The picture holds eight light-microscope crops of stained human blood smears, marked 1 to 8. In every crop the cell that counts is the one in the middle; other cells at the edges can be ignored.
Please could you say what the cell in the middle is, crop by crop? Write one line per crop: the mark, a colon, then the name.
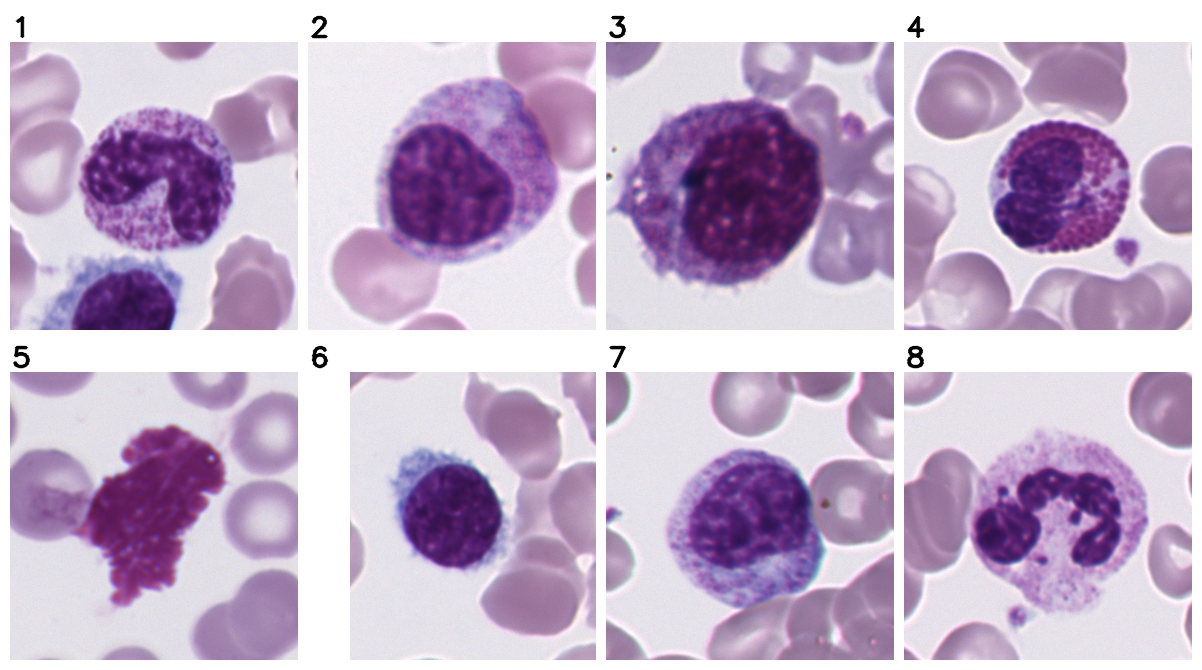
1: band neutrophil
2: myelocyte
3: promyelocyte
4: eosinophil
5: smudge cell
6: hairy cell
7: metamyelocyte
8: segmented neutrophil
